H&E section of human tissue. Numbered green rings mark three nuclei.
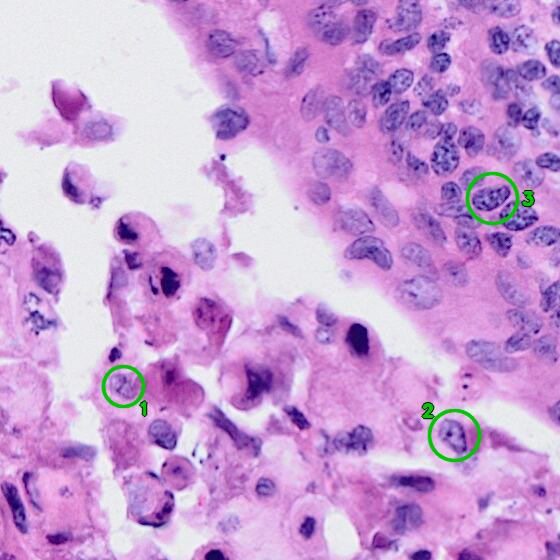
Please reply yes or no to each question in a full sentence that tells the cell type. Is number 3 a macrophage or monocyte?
No, number 3 identifies a squamous carcinoma cell, not a macrophage or monocyte.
